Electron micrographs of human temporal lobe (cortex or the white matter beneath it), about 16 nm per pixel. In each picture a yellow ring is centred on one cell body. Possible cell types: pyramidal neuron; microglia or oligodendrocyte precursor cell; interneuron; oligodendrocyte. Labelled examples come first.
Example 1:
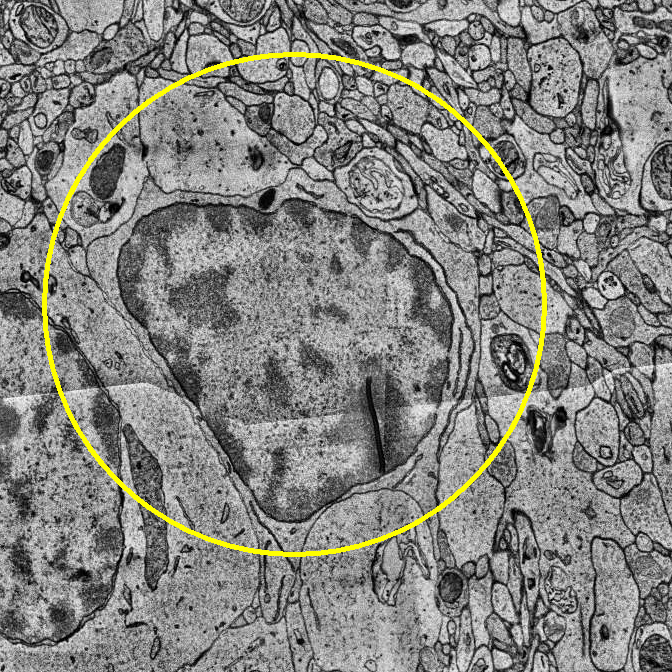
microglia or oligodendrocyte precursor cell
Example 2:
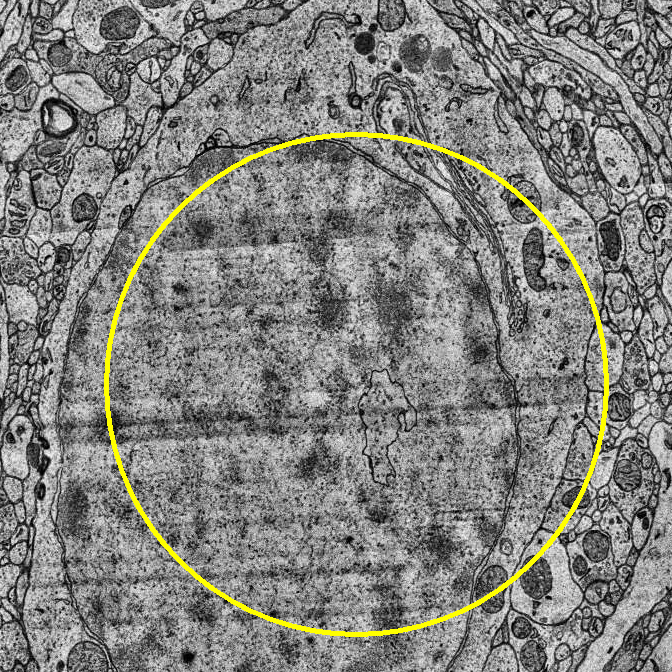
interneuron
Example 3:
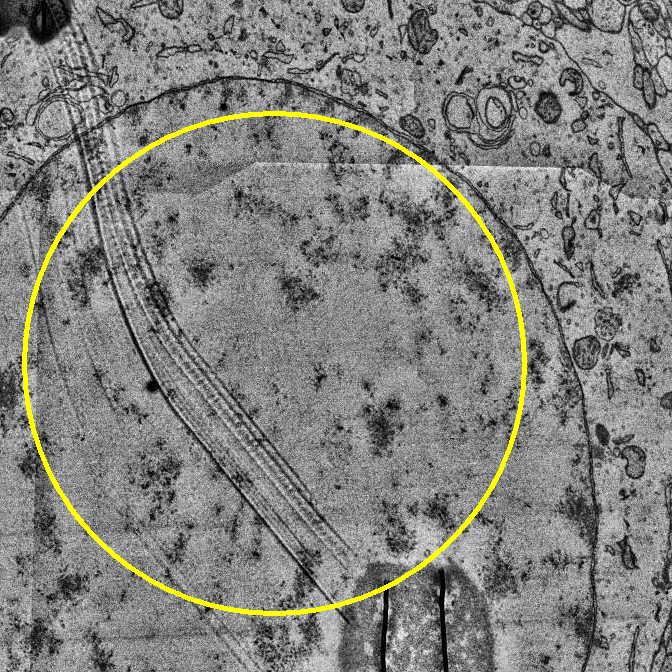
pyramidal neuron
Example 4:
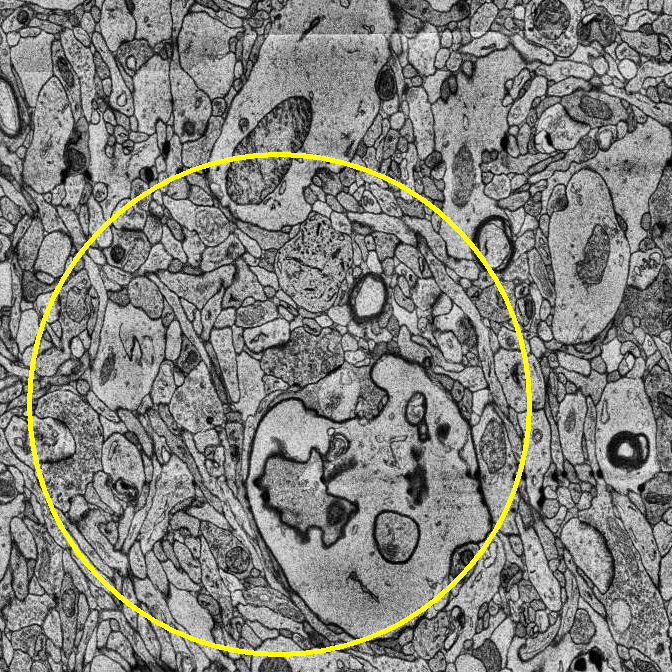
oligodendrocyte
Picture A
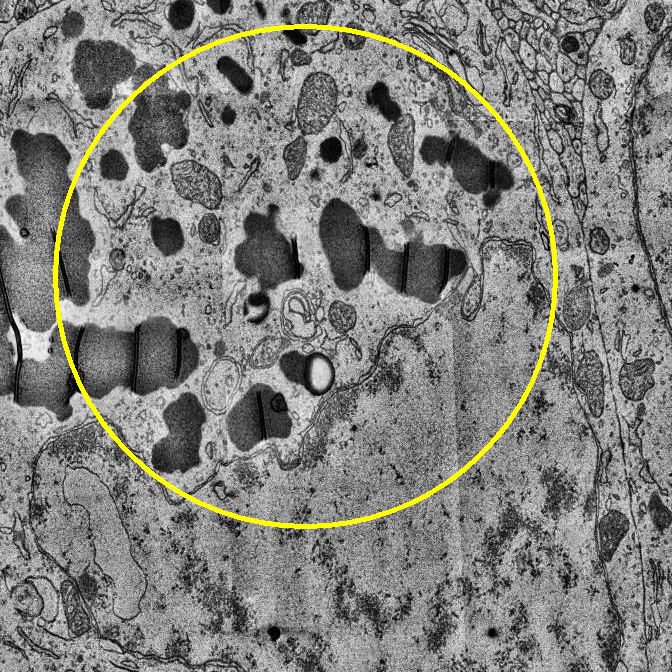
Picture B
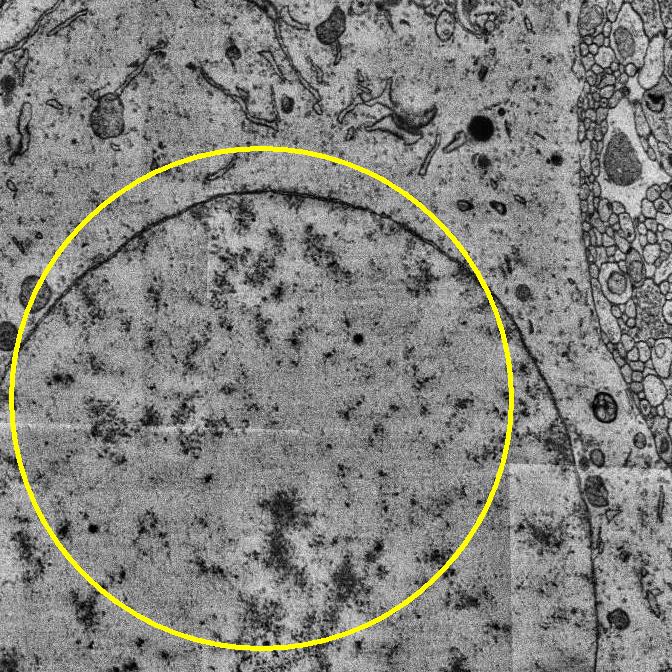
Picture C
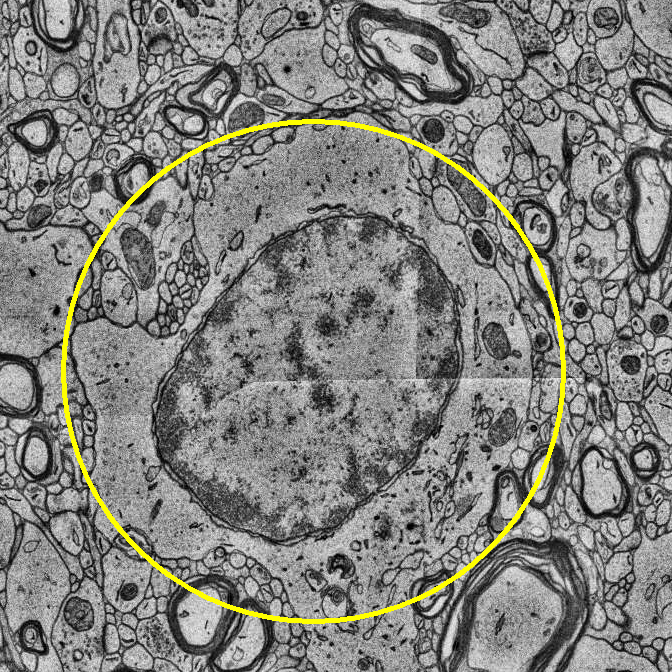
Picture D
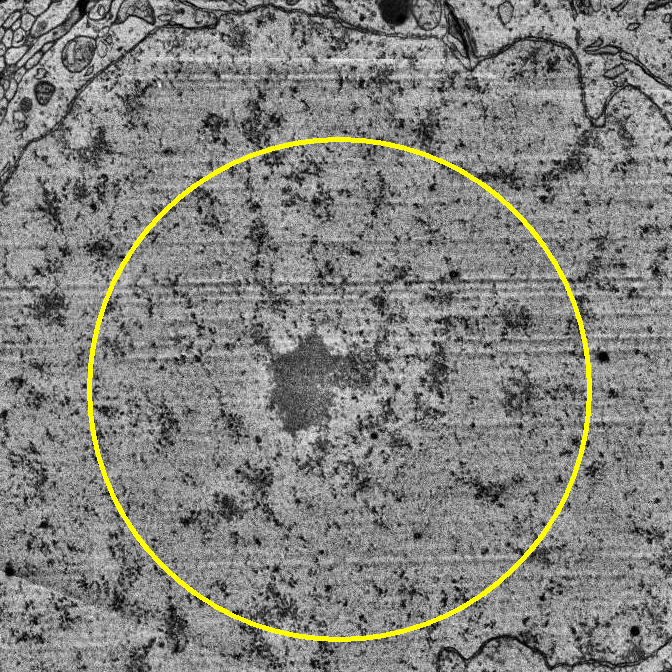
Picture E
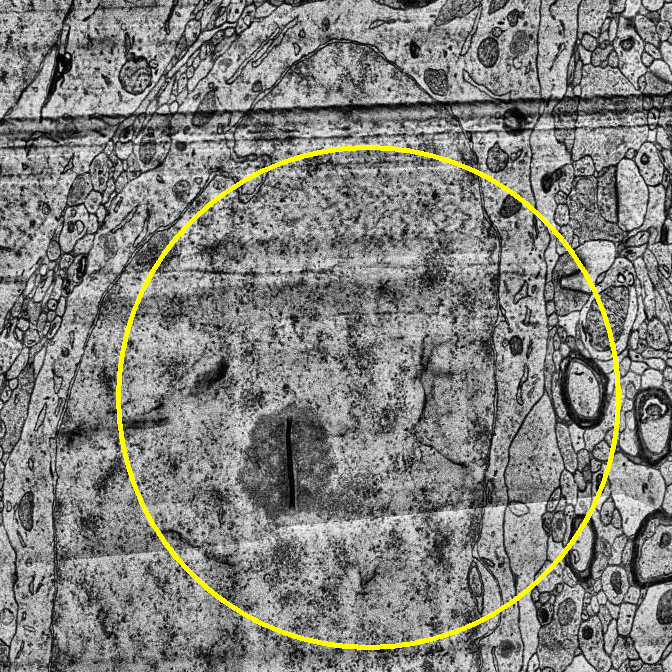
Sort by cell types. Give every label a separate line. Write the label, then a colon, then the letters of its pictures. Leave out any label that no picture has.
pyramidal neuron: B, D
microglia or oligodendrocyte precursor cell: C
interneuron: A, E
